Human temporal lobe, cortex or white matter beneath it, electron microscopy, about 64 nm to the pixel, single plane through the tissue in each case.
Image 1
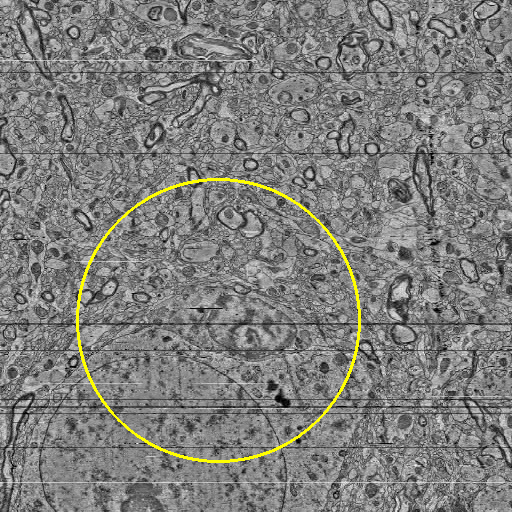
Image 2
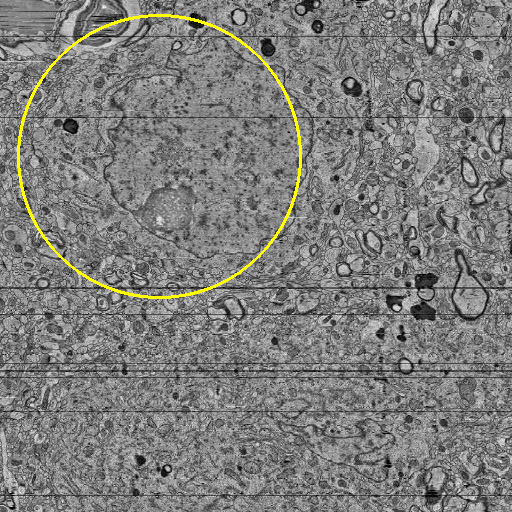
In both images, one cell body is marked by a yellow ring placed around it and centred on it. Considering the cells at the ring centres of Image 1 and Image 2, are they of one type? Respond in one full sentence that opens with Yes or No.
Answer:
No, two types apply to the ring-centred cells of Image 1 and Image 2.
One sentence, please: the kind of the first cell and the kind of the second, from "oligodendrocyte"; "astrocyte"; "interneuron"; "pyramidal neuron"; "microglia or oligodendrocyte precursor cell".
The ring in the first picture surrounds an oligodendrocyte, and the ring in the second surrounds a pyramidal neuron.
